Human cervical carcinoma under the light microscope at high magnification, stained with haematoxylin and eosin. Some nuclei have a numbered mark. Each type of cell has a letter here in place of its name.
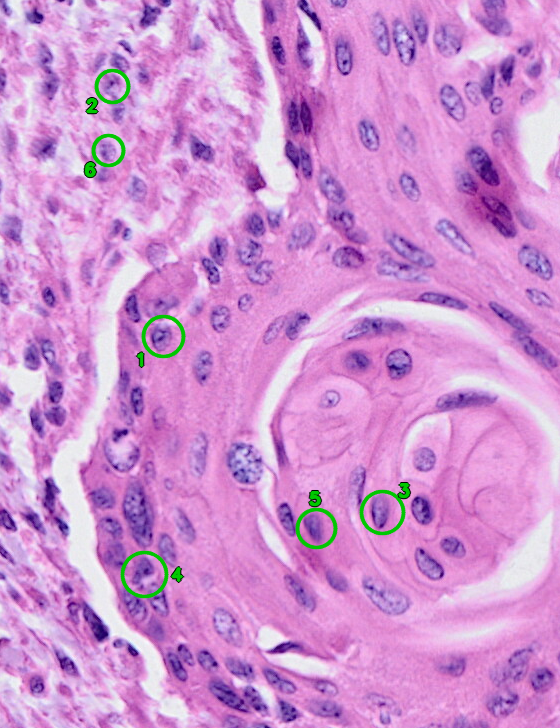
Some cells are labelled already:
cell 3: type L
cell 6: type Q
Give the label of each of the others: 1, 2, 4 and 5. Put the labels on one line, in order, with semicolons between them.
type L; type Q; type L; type L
